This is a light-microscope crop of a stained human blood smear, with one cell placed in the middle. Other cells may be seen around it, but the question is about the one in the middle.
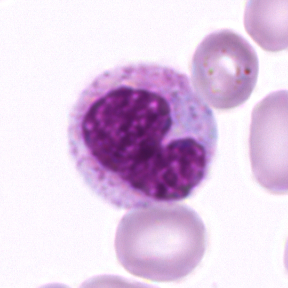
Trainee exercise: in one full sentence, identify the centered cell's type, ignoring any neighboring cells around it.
For this crop, the cell in the middle is a band neutrophil.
